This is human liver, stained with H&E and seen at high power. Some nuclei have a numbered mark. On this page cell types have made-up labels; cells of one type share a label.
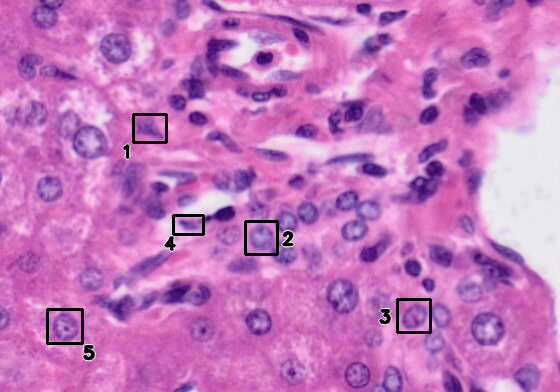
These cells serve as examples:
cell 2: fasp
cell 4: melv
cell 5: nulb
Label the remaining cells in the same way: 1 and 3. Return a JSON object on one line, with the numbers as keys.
{"1": "melv", "3": "fasp"}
